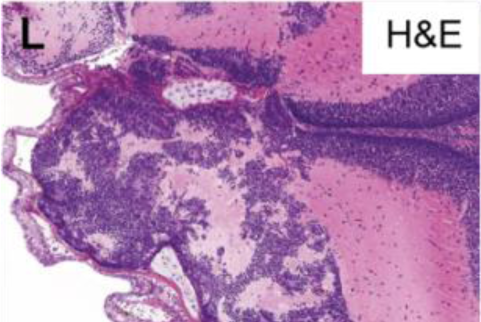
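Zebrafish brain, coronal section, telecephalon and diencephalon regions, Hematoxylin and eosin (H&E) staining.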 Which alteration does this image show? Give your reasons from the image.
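A large, densely cellular, purple-staining mass bulges from the brain surface. The mass disrupts the normal layered pink brain tissue beside it. The answer: tumor.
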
